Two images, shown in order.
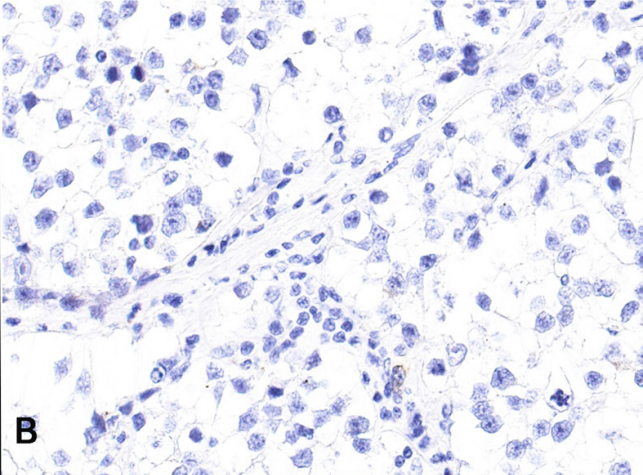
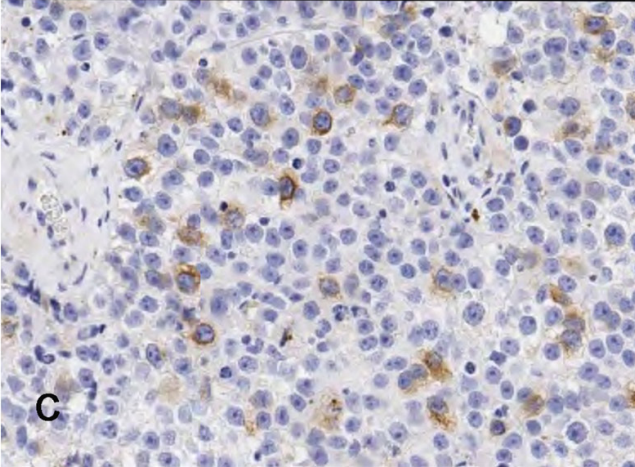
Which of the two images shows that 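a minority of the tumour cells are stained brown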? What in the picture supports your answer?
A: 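The second image. Second image: scattered cells show pale to moderate brown cytoplasm among blue-stained cells. First image: all cells are blue with no brown staining.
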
